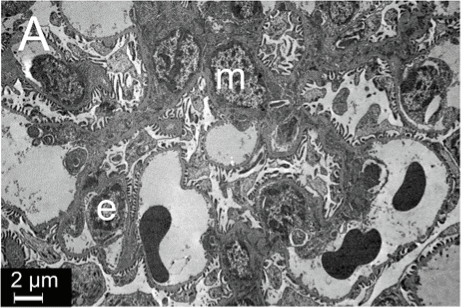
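This is a glomerulus, with several capillary loops whose lumens hold dark, smoothly outlined red blood cells, lined by thin endothelial cells. On the outer side of the capillary walls the podocyte foot processes form fine, regular comb-like rows, and mesangial cells with dense irregular nuclei sit in the stalk between the loops.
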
